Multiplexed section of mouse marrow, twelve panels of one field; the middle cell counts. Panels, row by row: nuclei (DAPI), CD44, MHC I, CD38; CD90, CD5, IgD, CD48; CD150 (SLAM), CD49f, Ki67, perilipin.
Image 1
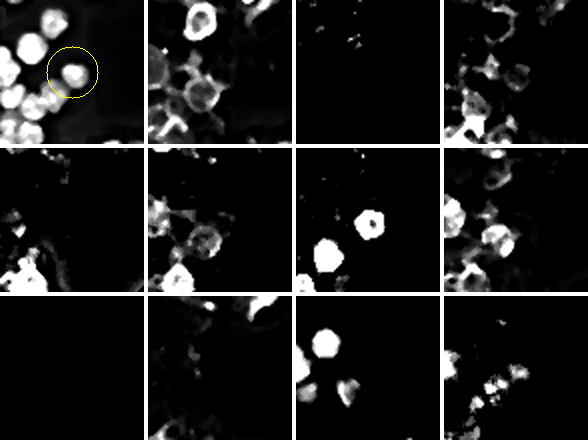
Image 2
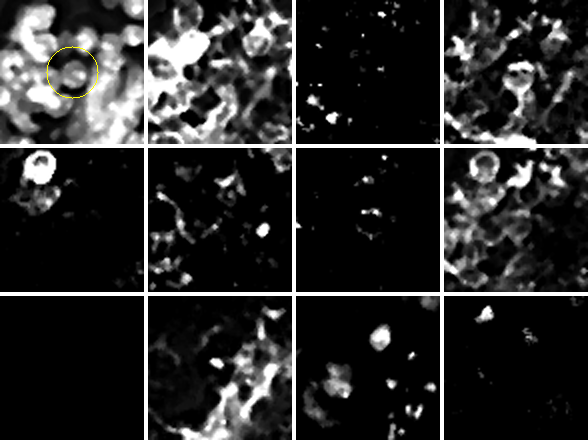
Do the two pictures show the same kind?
Yes, both are B cells.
